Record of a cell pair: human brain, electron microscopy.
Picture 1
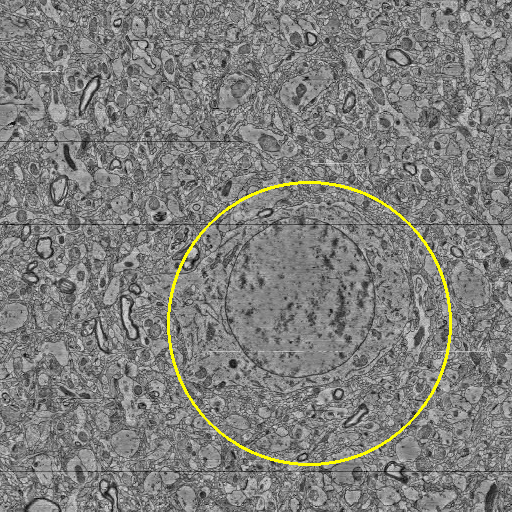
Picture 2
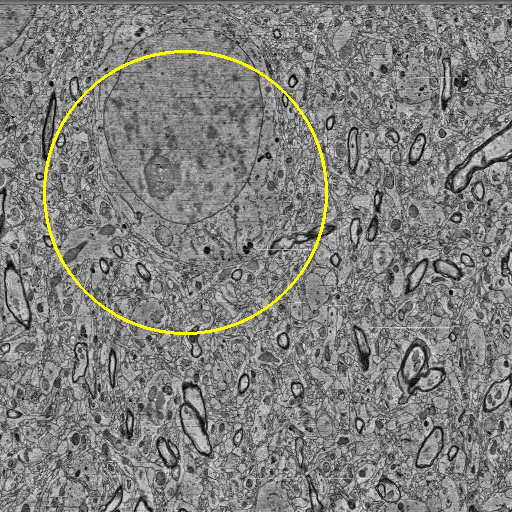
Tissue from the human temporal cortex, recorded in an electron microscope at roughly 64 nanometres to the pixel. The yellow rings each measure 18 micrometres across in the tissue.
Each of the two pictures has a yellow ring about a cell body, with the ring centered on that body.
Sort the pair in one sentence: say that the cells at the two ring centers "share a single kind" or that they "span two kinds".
The cells centered in the rings of Pictures 1 and 2 share a single kind.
